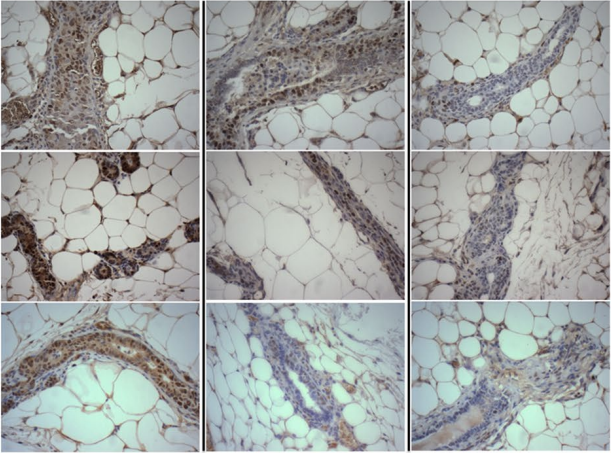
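This mammary gland tissue shows epithelial ducts lying within fat tissue. The ducts are tubes or cords of closely packed epithelial cells with round to oval nuclei, some with a small central lumen. Around them lies a thin band of spindle-shaped stromal cells. The rest of the field is taken up by large fat cells, each an empty-looking rounded space framed by a thin rim of cytoplasm. In some images many epithelial nuclei are stained brown and the ducts are thick and many-layered, while in others most nuclei are blue and the ducts are thinner.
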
